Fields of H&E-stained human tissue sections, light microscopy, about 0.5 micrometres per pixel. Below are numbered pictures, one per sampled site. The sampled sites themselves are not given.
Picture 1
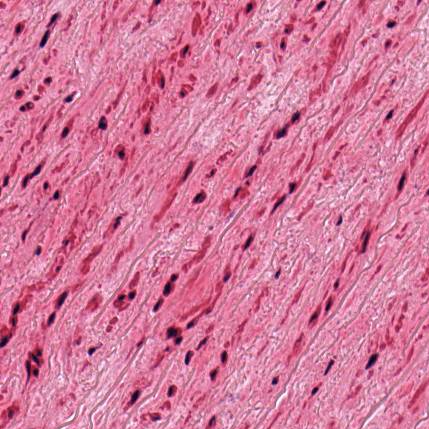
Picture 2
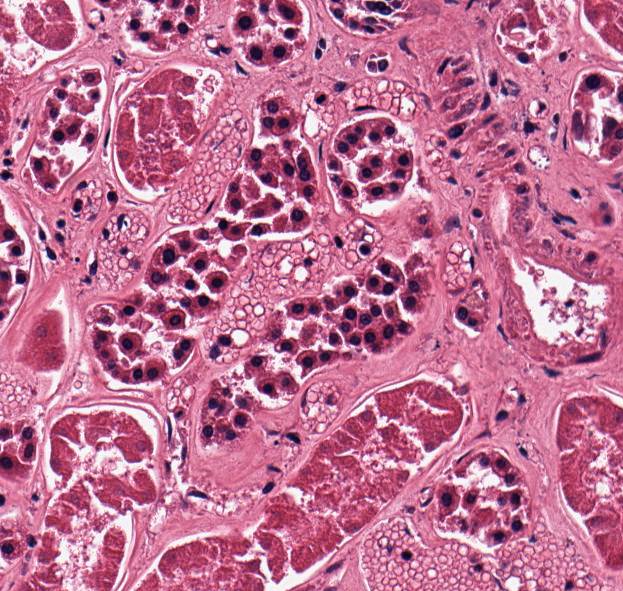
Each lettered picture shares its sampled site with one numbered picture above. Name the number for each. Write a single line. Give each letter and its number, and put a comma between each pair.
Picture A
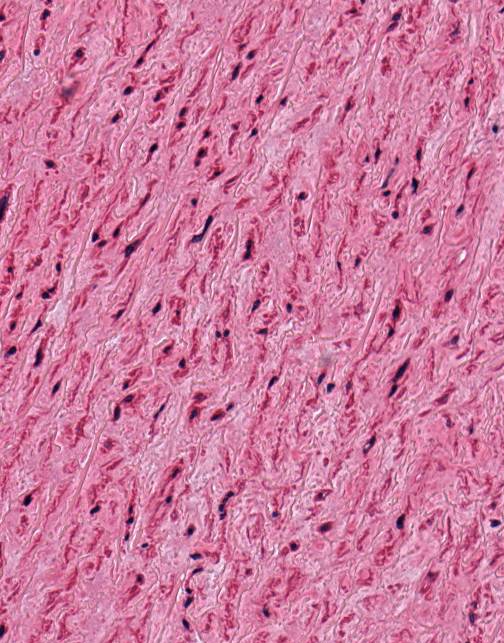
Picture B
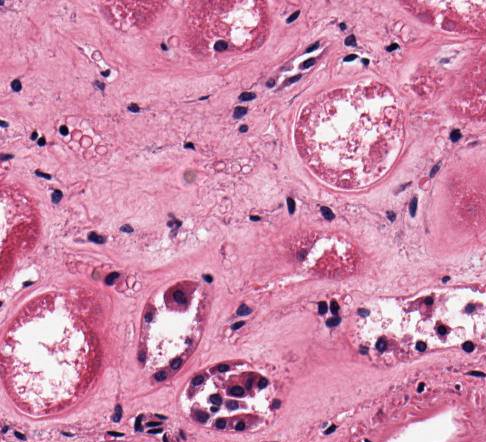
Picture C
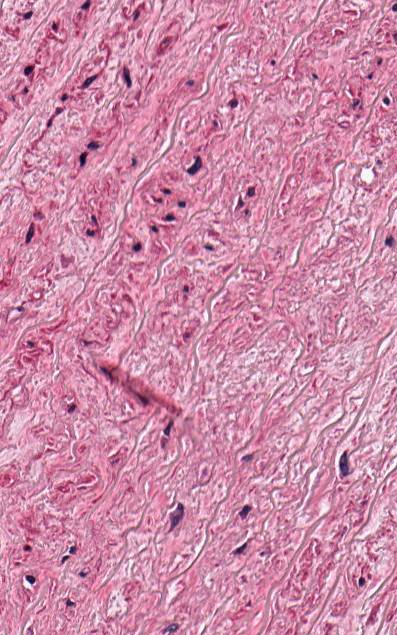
A 1, B 2, C 1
